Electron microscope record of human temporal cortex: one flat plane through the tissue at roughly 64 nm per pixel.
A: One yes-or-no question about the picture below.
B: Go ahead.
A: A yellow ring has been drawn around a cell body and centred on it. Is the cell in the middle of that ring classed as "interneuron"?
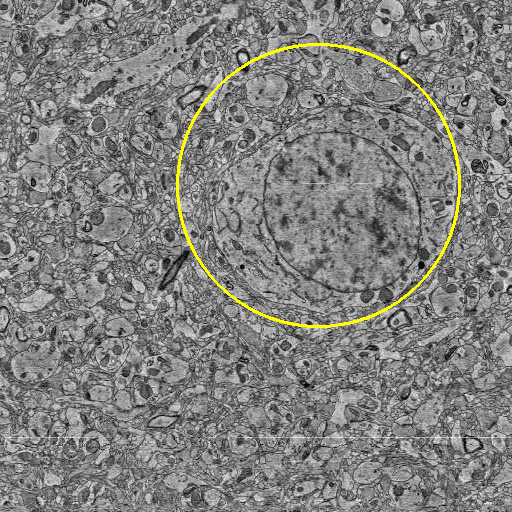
No, it is classed as another kind.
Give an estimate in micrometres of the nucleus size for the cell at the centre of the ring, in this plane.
In this plane the nucleus is about 11 micrometres across.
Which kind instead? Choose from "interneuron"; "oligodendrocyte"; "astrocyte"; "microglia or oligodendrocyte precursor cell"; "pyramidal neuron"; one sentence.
The cell shown in the ring is a pyramidal neuron.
